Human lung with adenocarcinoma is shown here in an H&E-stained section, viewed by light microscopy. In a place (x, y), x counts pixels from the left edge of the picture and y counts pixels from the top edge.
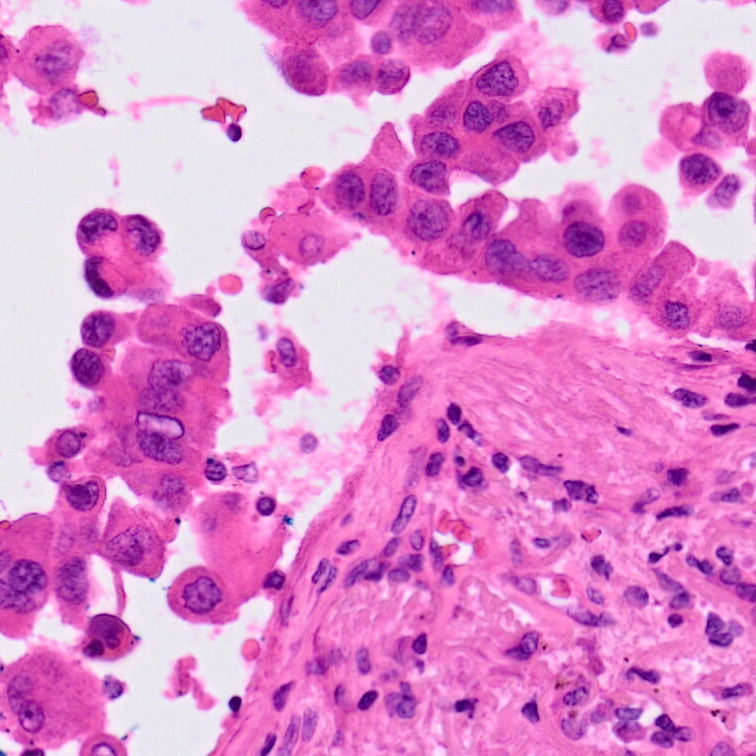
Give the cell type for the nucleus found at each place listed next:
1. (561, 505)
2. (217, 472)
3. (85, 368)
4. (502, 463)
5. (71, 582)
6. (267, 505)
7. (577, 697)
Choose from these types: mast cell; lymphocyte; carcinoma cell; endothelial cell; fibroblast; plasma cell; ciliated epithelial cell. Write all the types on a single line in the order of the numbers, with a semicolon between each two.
lymphocyte; lymphocyte; carcinoma cell; lymphocyte; carcinoma cell; lymphocyte; plasma cell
